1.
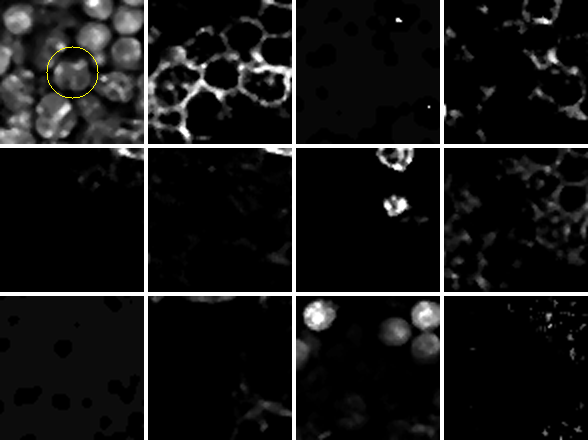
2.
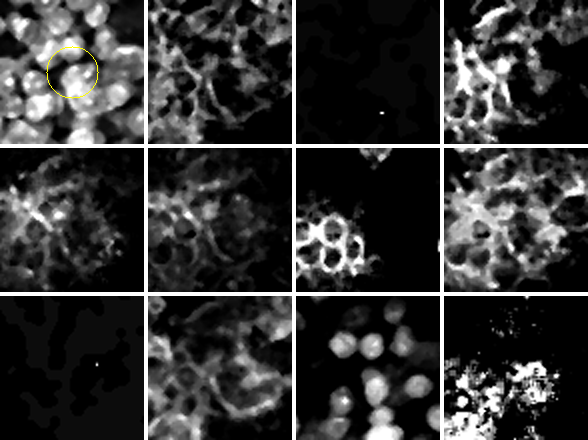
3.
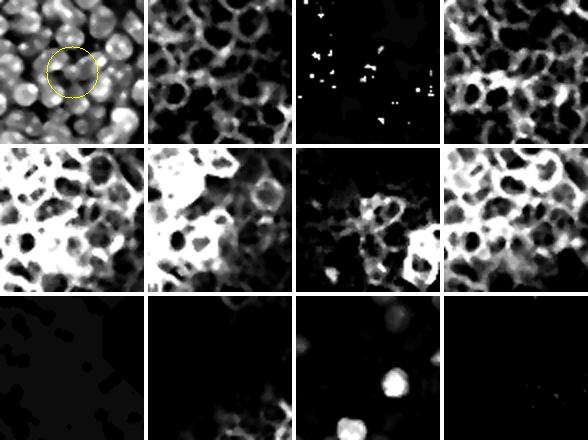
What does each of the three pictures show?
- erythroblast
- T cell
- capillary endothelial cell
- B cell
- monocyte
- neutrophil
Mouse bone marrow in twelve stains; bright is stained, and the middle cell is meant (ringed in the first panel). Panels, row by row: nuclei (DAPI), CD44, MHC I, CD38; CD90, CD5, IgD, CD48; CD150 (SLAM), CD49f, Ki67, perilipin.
1: neutrophil
2: capillary endothelial cell
3: B cell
